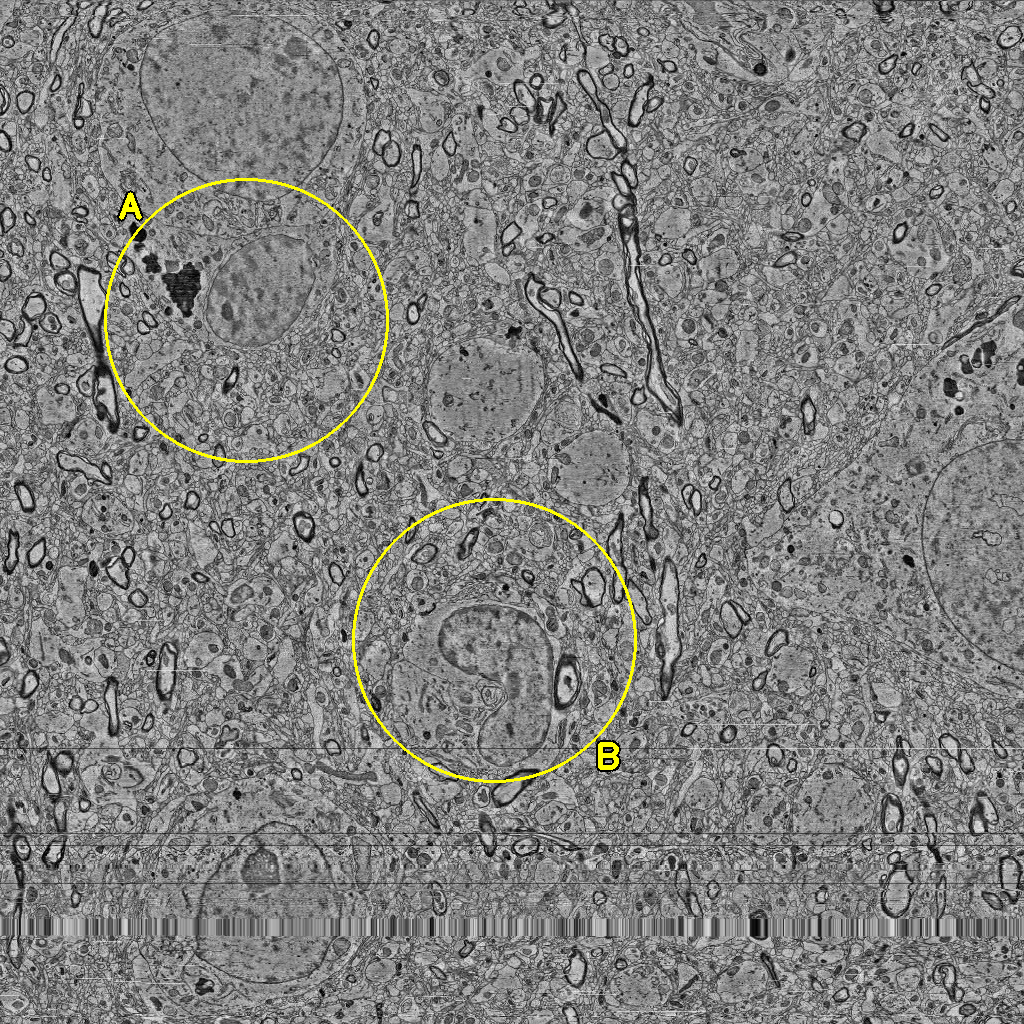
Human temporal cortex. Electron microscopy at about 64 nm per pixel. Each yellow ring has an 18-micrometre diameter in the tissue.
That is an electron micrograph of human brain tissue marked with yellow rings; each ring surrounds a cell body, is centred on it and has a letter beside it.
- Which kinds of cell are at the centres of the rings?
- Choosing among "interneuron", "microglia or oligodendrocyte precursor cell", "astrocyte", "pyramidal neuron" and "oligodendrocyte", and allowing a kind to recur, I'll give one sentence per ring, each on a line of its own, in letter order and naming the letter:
Ring A sits around an oligodendrocyte.
Ring B sits around a microglial cell or oligodendrocyte precursor cell.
